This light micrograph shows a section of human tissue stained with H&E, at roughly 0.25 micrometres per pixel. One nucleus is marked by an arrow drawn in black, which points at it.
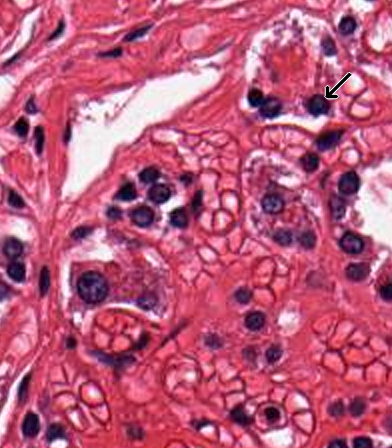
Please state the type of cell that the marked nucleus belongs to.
thyroid follicular cell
